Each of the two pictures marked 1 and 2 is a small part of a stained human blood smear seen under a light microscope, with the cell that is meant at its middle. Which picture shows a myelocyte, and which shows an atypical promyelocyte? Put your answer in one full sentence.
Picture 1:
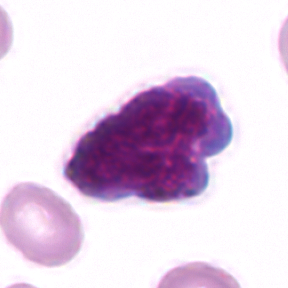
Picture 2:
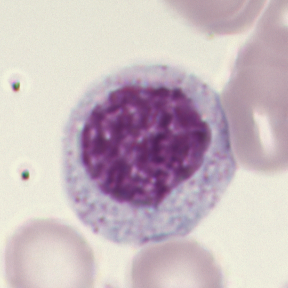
Picture 2 shows a myelocyte, while picture 1 shows an atypical promyelocyte.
